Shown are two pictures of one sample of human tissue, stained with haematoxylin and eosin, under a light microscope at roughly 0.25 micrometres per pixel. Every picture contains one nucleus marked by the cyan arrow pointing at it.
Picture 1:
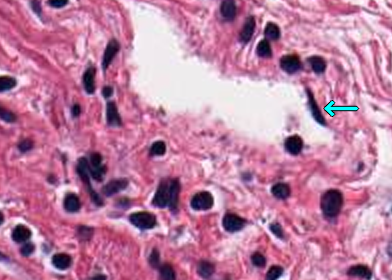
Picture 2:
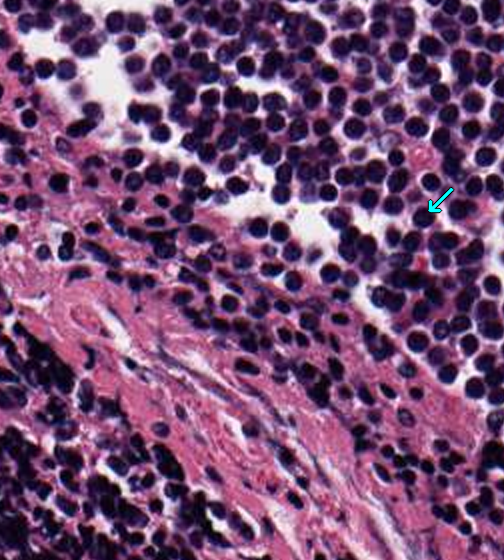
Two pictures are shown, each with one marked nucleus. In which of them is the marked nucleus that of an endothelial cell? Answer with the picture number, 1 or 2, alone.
1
